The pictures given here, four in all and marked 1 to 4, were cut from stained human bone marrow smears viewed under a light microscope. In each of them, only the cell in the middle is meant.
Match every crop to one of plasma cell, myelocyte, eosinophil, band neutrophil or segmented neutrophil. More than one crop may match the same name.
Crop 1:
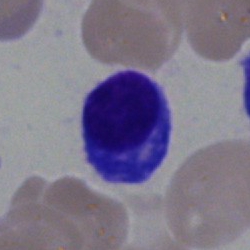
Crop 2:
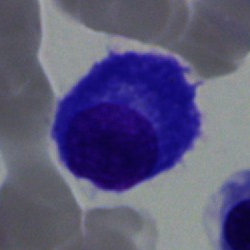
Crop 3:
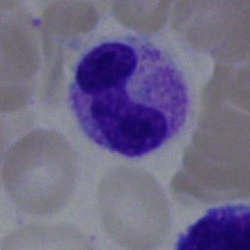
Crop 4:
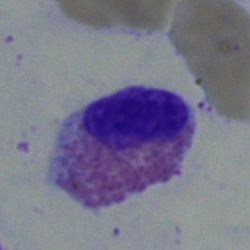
1: plasma cell
2: plasma cell
3: band neutrophil
4: eosinophil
